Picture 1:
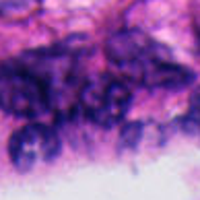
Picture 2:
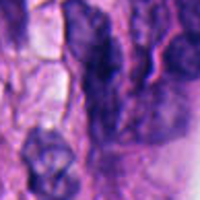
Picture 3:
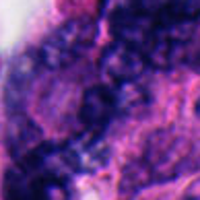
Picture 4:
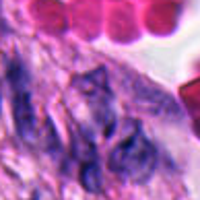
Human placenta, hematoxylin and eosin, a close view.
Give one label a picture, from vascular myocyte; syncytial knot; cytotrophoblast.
1: syncytial knot
2: cytotrophoblast
3: syncytial knot
4: vascular myocyte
